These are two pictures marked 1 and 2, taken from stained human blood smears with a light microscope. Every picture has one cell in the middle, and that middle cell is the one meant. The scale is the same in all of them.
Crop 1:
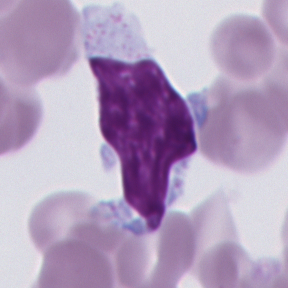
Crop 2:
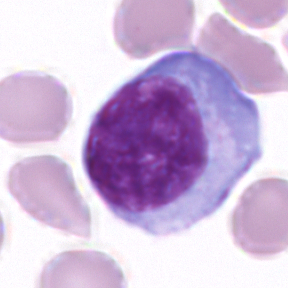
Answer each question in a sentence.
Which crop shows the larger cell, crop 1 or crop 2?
The cell in crop 2 is larger, with about 1.5 times the area of the one in crop 1.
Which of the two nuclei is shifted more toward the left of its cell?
In crop 2 the nucleus is shifted more toward the left.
